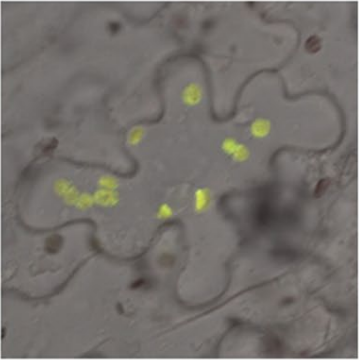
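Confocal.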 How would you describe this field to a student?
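The cells have thin, strongly undulating walls that interlock like jigsaw pieces. Inside them lie small round to oval chloroplasts, some single and some grouped in short rows or clusters; all the fluorescent bodies appear yellow rather than purely green or red. Other small dark bodies are visible in the bright-field background, and a blurred dark patch lies towards the lower right, out of the focal plane.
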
